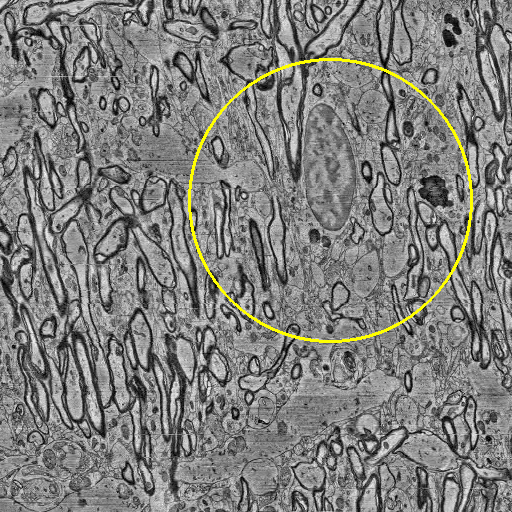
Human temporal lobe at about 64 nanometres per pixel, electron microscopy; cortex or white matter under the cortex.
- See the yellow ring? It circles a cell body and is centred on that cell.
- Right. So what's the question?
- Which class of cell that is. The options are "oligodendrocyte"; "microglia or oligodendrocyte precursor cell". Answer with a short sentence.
The centre of the ring holds a microglial cell or oligodendrocyte precursor cell.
